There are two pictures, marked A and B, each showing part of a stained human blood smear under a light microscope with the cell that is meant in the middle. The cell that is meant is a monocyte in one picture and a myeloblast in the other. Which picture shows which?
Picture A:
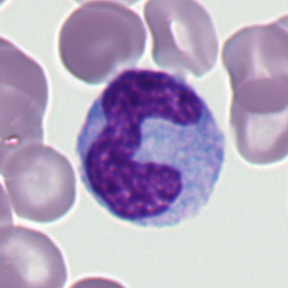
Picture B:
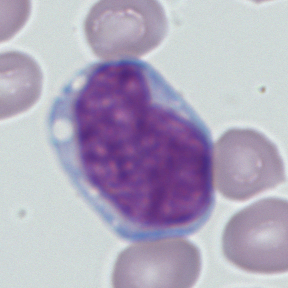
A: monocyte
B: myeloblast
